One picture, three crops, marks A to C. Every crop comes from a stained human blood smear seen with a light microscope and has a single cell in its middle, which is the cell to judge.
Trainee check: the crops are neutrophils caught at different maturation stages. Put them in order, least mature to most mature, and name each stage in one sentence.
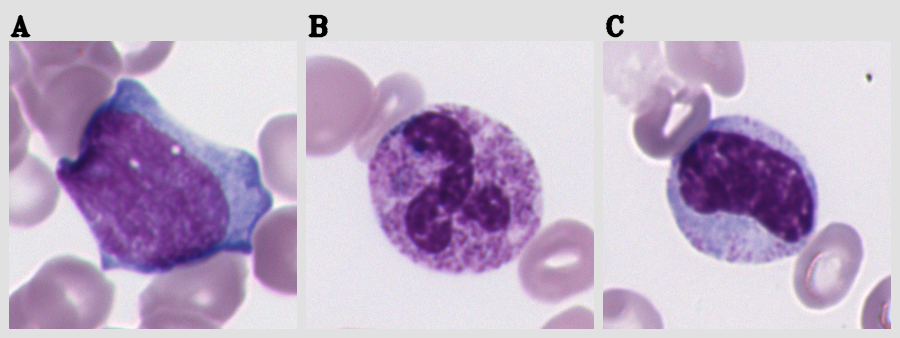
Maturity order, least to most: crop A (a blast), crop C (a metamyelocyte) and crop B (a segmented neutrophil).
